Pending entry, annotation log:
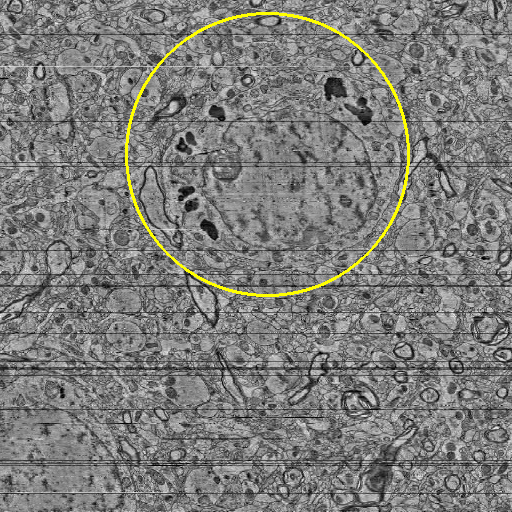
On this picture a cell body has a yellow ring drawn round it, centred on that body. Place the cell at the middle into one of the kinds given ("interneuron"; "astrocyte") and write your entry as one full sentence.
The cell body at the middle of the yellow ring belongs to an interneuron.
